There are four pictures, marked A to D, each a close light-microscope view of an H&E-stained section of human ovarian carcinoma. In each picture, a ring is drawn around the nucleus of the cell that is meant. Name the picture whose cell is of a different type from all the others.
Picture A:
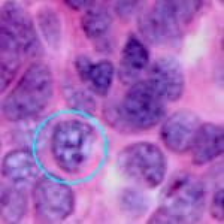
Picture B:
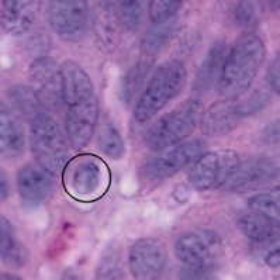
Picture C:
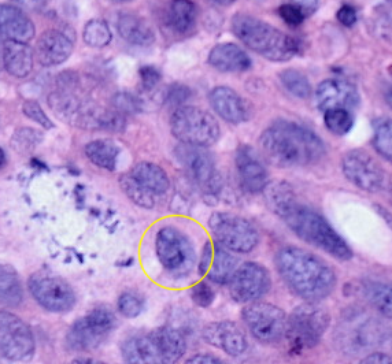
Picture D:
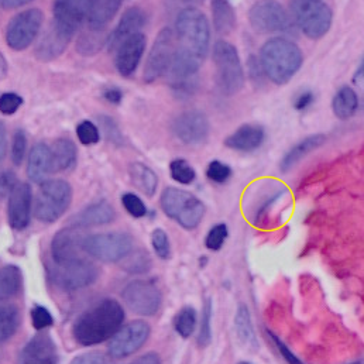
D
